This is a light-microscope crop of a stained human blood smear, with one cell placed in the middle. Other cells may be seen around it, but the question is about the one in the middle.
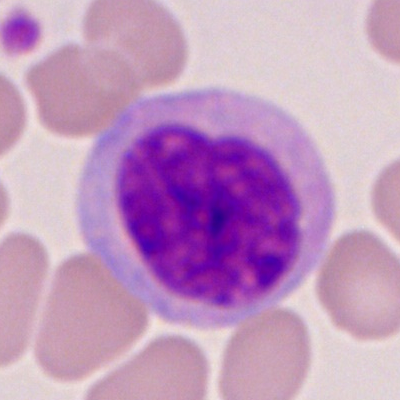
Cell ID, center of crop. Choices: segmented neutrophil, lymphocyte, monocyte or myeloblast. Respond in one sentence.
The cell at the middle of the crop is recognized as a monocyte.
